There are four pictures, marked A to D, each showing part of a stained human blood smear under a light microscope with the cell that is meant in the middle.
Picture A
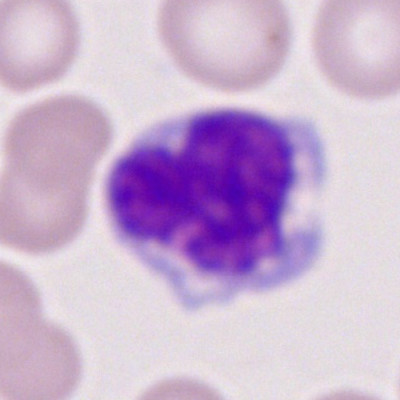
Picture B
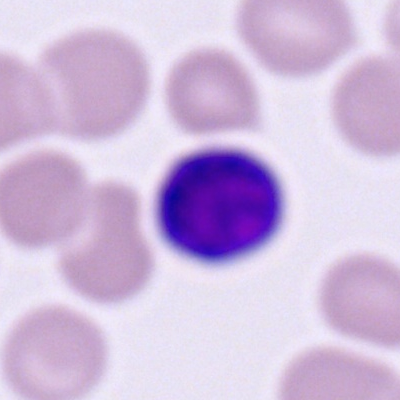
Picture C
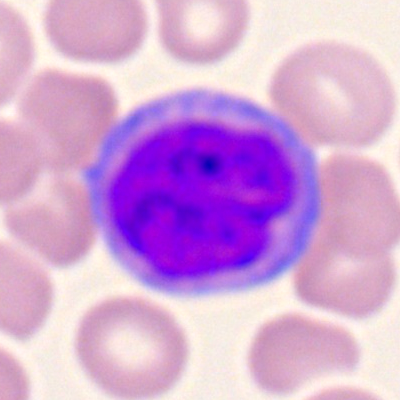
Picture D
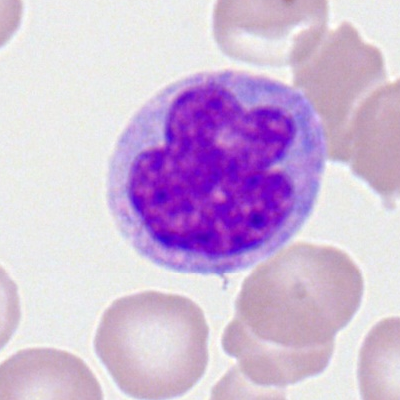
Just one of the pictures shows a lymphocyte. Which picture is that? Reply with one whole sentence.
The picture with the lymphocyte is B.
